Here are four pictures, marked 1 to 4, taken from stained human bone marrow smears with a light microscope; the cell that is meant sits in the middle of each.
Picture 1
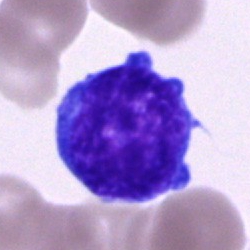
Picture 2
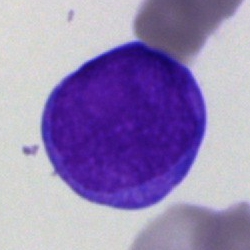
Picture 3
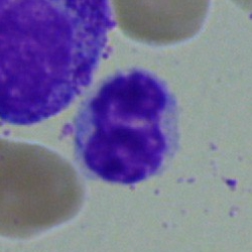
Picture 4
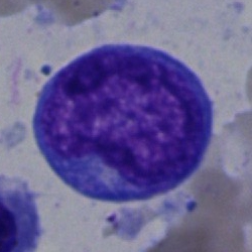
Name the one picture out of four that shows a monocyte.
3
